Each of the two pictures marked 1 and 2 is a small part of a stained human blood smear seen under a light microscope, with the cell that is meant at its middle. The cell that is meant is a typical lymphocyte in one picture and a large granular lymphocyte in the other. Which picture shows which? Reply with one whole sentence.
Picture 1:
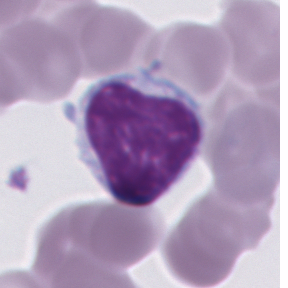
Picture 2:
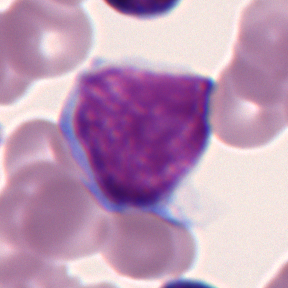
Picture 1 shows a large granular lymphocyte and picture 2 shows a typical lymphocyte.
